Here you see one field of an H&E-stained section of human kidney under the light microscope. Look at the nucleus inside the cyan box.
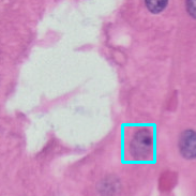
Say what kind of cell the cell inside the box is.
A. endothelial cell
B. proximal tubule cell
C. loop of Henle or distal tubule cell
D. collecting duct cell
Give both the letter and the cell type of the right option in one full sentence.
With the cell inside the box being a proximal tubule cell, option B is correct.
